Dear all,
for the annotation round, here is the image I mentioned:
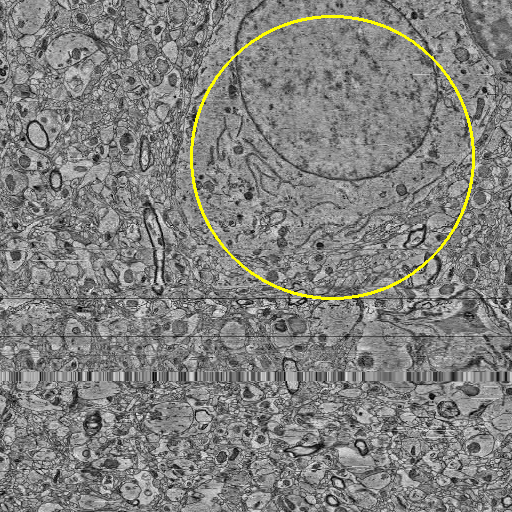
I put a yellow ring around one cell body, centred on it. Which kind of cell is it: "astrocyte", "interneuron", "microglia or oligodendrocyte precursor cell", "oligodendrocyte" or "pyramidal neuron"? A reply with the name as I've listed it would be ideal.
pyramidal neuron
